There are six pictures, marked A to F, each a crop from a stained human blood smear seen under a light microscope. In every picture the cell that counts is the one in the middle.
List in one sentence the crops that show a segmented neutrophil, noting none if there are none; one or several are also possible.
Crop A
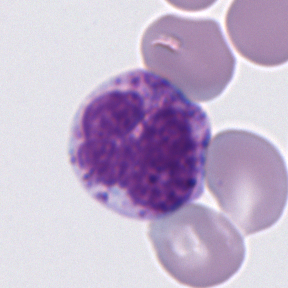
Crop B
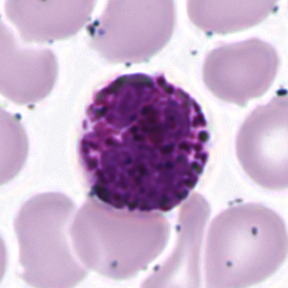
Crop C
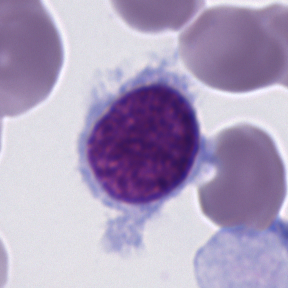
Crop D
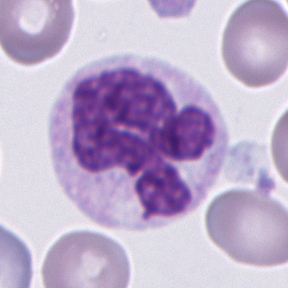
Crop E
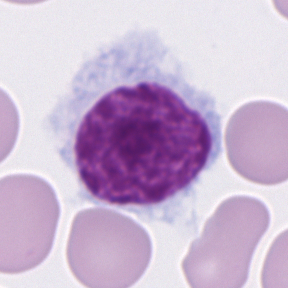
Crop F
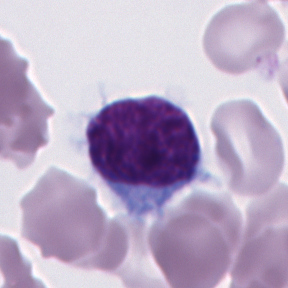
With the exception of crop D, the crops do not show a segmented neutrophil.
